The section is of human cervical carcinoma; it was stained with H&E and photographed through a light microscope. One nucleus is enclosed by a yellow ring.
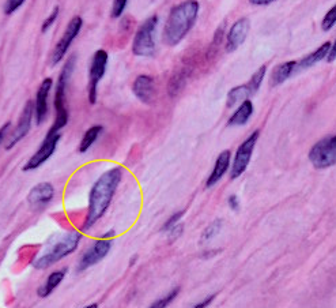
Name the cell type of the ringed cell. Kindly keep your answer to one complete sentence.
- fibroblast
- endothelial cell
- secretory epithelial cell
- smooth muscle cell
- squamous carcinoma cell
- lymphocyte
What the ringed cell represents is an endothelial cell.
